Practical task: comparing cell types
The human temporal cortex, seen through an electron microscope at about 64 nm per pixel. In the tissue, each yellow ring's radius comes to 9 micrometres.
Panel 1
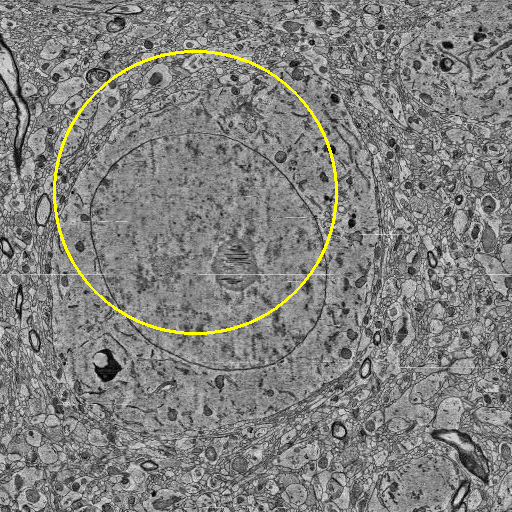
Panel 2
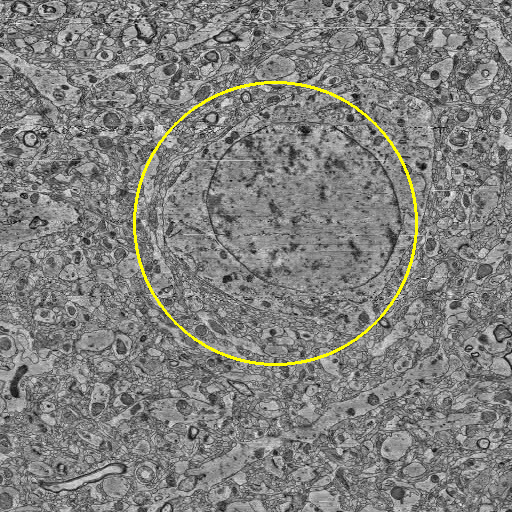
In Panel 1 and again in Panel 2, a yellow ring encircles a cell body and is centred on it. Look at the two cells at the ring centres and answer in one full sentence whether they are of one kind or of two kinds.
The two cells sitting at the ring centres of Panels 1 and 2 are of one kind.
